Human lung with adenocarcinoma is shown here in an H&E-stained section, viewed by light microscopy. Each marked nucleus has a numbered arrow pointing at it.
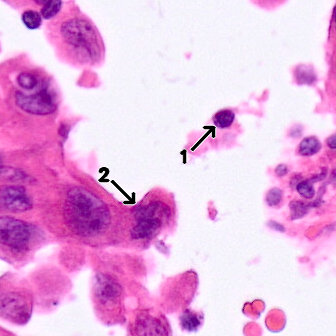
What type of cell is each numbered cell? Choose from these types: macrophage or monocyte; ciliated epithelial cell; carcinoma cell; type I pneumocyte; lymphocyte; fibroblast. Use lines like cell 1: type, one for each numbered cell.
cell 1: lymphocyte
cell 2: carcinoma cell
